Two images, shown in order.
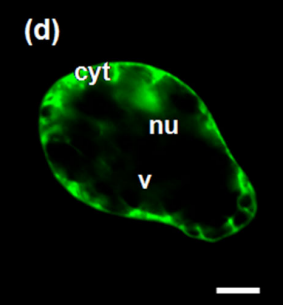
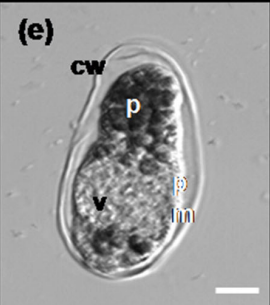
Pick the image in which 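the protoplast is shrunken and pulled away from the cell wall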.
The second image.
